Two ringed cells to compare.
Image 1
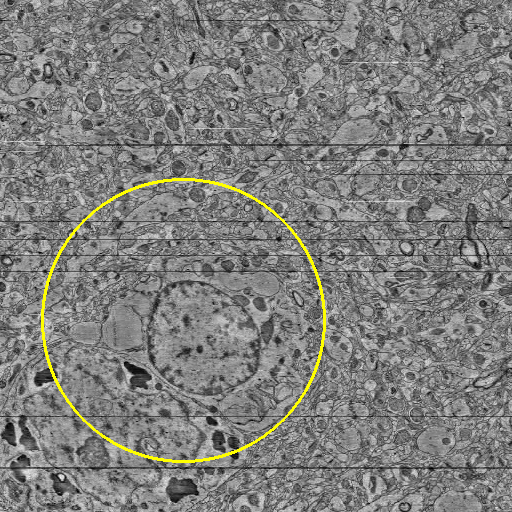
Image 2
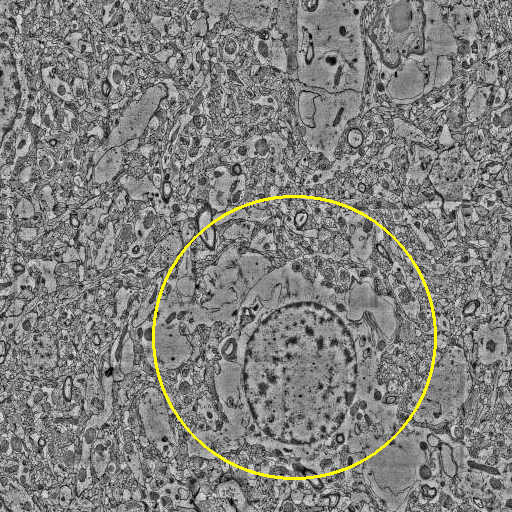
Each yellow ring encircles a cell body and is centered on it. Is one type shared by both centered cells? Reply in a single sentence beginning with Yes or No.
Yes, a single type is shared by the two cells at the centers of the rings.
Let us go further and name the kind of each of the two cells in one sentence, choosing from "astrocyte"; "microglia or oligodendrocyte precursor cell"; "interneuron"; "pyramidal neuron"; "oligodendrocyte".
Each cell, in the first picture and the second, is an astrocyte.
